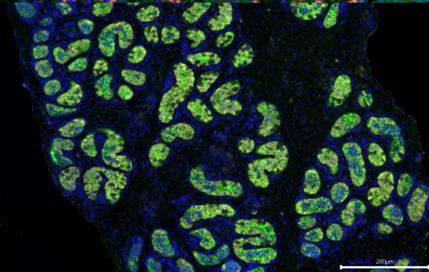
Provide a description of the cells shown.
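No red nuclei are seen. The tubules are set in a relatively abundant interstitium containing many loosely scattered blue nuclei, so the profiles appear as bright green-yellow islands in a blue background. Compared with mature tubules, these are much smaller and more crowded with one kind of labelled cell.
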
